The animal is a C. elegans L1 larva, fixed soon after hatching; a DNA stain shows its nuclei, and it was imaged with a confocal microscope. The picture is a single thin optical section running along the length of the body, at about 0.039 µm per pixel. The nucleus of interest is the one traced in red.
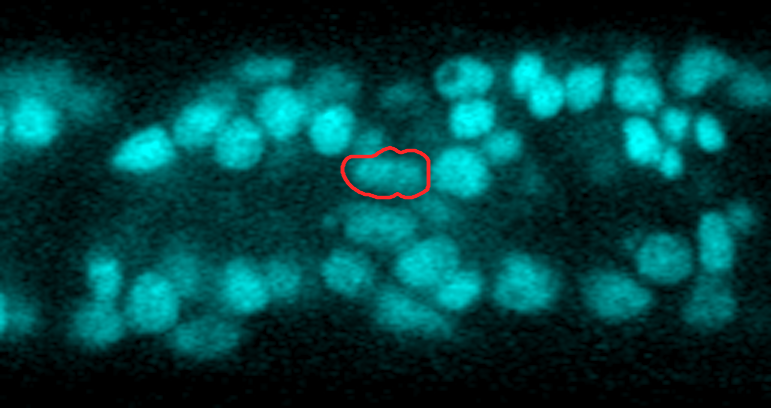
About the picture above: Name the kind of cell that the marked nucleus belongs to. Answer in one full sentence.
What is marked is the nucleus of a pharyngeal marginal cell.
